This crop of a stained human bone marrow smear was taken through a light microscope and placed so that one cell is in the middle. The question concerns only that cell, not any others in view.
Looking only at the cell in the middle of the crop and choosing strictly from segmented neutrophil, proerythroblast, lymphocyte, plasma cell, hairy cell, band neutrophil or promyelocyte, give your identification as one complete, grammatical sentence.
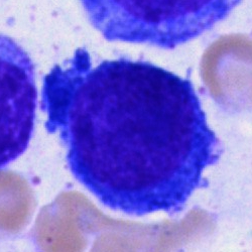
This crop is built around a proerythroblast at its centre.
